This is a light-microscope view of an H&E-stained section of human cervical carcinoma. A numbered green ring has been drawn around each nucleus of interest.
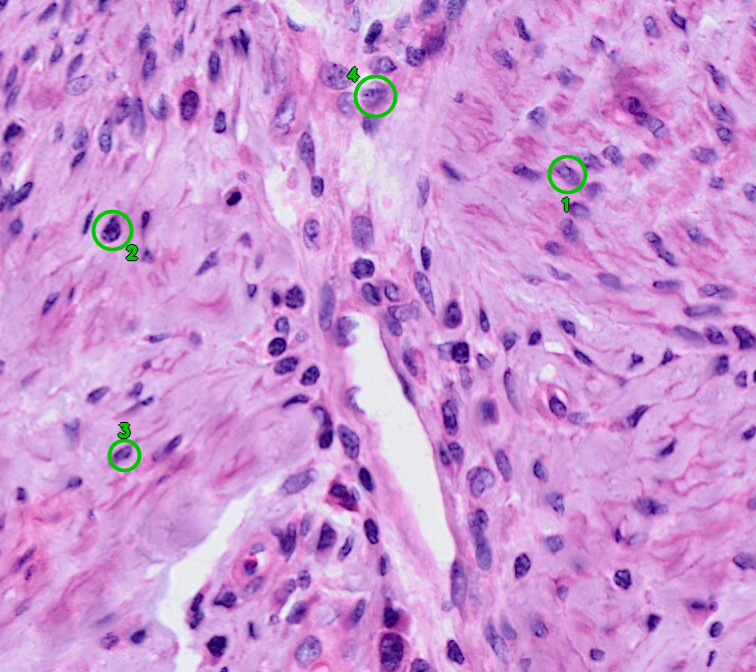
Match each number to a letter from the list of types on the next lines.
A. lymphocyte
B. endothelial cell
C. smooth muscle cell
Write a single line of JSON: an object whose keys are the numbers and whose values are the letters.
{"1": "C", "2": "A", "3": "C", "4": "B"}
